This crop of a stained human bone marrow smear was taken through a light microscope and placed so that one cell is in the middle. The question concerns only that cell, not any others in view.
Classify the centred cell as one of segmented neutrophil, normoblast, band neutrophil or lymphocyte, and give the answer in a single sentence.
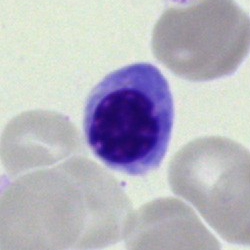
Answering briefly, the cell in the middle is a normoblast.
